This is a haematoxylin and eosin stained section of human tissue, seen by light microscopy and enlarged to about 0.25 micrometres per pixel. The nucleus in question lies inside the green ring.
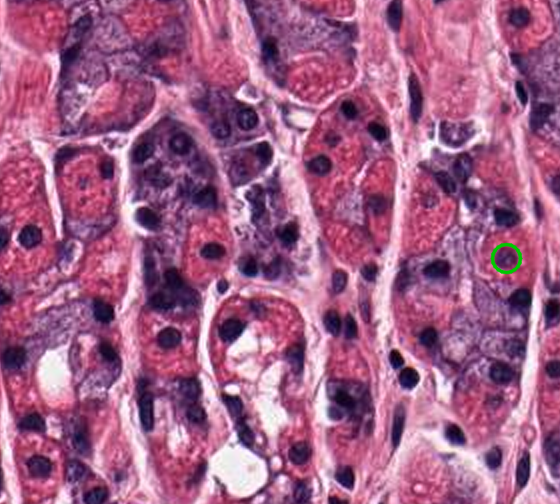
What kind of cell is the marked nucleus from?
parietal cell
